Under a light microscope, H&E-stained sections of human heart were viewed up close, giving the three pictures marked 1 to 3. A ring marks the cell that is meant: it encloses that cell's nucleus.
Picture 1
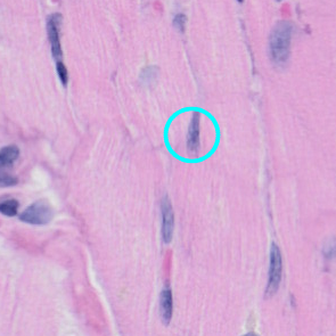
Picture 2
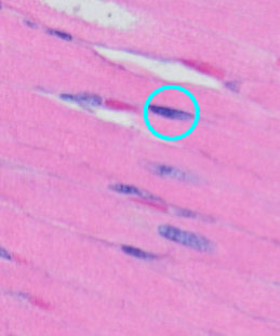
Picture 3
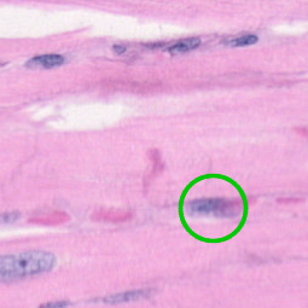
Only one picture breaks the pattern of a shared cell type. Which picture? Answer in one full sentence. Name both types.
The different one is picture 2; it shows a fibroblast, whereas all the others show endothelial cells.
